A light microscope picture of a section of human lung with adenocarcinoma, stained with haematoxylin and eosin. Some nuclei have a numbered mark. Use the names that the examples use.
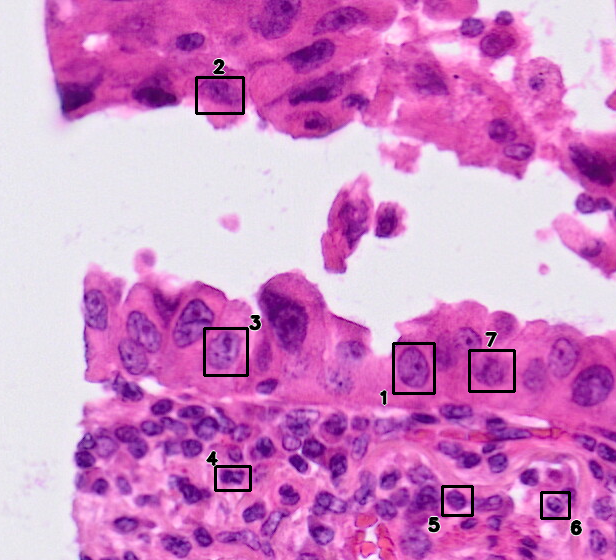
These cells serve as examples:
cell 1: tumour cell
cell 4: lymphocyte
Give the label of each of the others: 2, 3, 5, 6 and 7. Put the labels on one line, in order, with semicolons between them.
tumour cell; tumour cell; lymphocyte; lymphocyte; tumour cell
